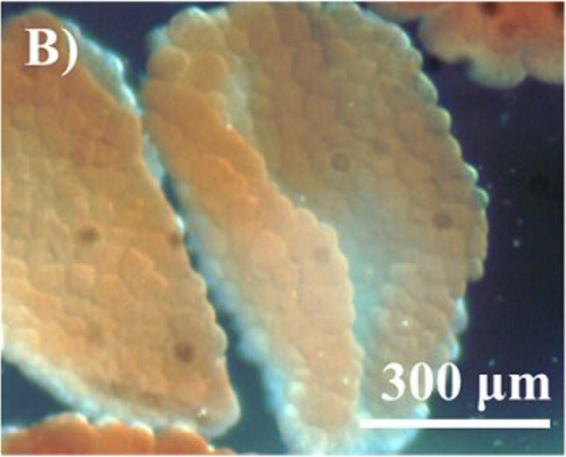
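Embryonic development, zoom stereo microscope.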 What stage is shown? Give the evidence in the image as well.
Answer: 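Prawn chip. Flattened, curved sheets made of many small rounded cells. The edges of each sheet are scalloped by bulging cells.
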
